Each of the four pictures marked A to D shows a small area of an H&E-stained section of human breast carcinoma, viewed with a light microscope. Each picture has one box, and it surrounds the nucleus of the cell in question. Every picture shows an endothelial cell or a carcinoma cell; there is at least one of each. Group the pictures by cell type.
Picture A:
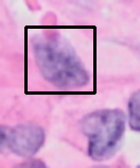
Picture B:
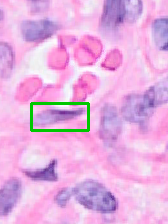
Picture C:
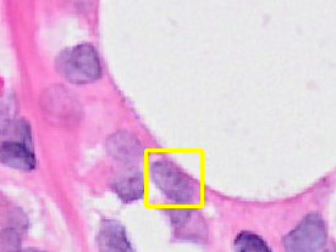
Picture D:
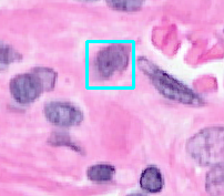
A: endothelial cell
B: endothelial cell
C: carcinoma cell
D: endothelial cell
